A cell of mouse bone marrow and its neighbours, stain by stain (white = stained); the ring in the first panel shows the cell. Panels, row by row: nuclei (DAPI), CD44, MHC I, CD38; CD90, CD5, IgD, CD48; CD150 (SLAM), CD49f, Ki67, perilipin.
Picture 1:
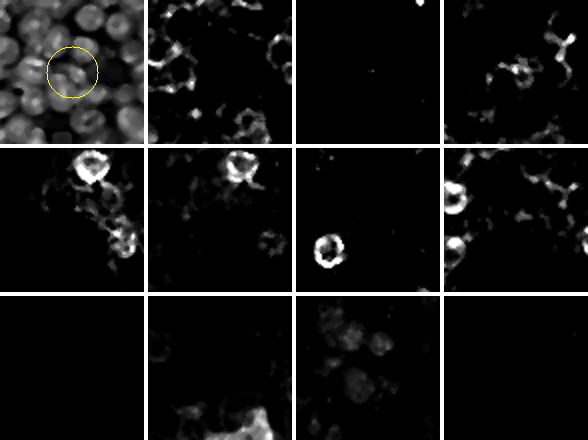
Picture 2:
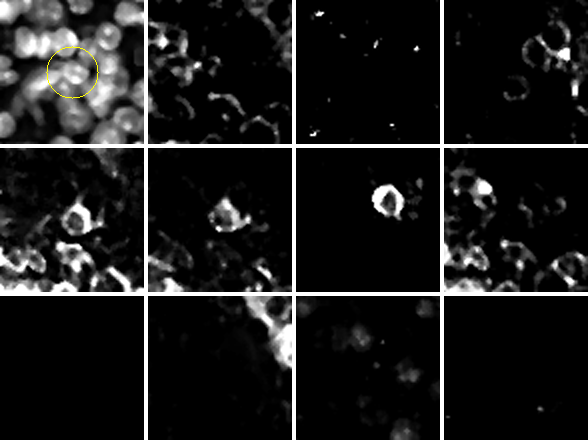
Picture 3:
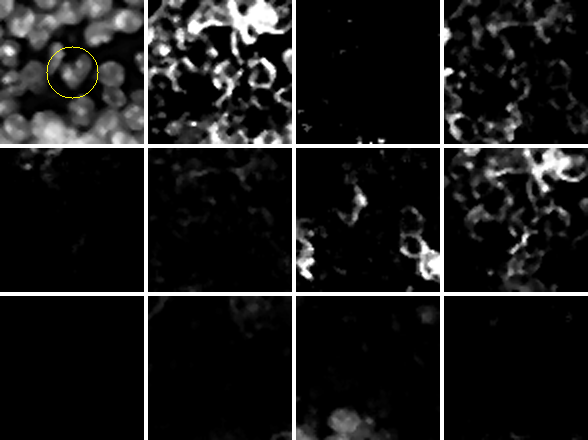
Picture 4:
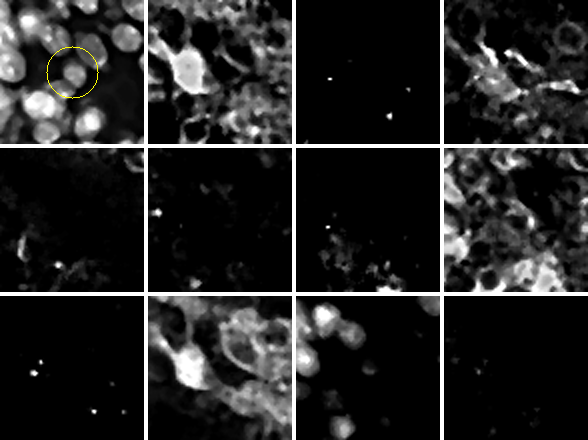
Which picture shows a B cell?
Picture 1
